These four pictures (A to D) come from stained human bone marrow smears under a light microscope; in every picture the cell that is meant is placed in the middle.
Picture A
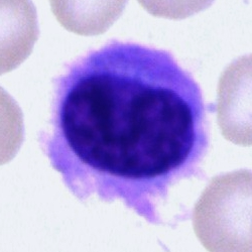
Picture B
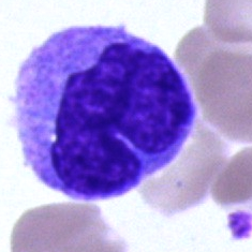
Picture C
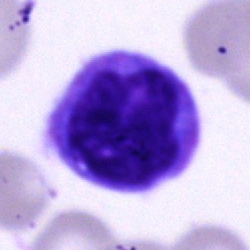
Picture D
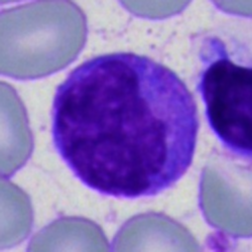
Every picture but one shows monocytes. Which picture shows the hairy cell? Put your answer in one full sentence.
It is picture A that shows the hairy cell.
